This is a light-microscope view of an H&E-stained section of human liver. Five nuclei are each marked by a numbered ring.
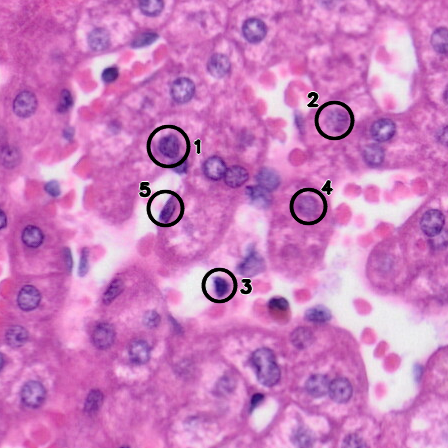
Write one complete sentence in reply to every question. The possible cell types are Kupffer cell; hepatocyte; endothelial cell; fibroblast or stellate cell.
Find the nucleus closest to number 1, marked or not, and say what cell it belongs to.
The cell nearest to number 1 is a fibroblast or stellate cell.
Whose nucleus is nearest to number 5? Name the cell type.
It is a fibroblast or stellate cell whose nucleus is nearest to number 5.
